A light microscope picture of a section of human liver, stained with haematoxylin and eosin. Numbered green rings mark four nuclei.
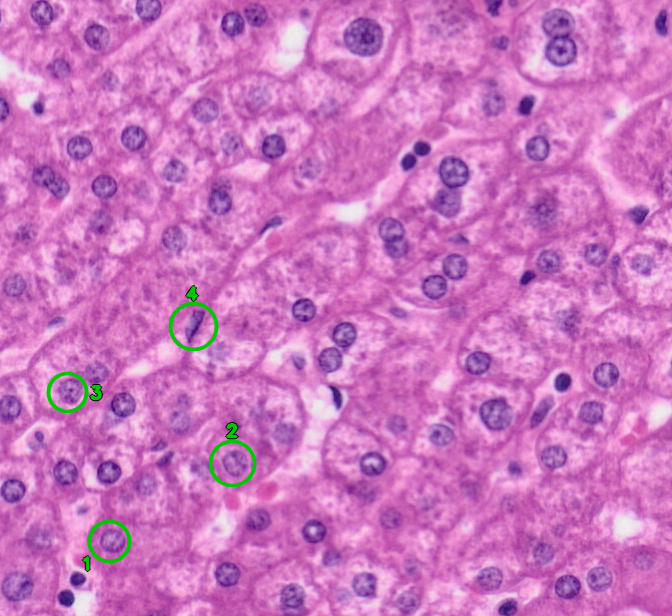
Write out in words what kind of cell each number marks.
Cells 1, 2 and 3 are hepatocytes. Cell 4 is an endothelial cell.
